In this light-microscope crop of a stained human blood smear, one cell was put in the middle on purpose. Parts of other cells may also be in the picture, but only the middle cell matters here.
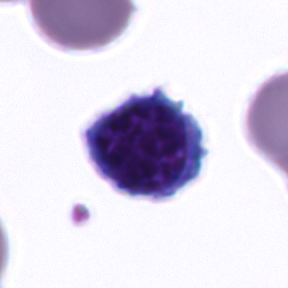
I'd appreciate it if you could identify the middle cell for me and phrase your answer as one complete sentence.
Positioned in the middle of the crop is a plasma cell.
